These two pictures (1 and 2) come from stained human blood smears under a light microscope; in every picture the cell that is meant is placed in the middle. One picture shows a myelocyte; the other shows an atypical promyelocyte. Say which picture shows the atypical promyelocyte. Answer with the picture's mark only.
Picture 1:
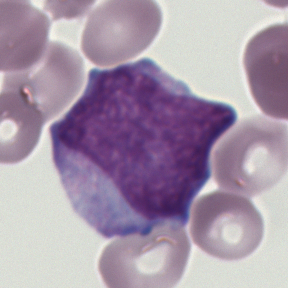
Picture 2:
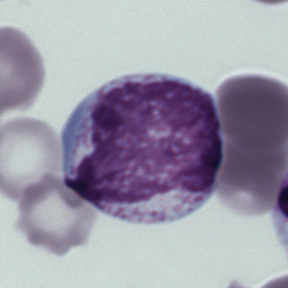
1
